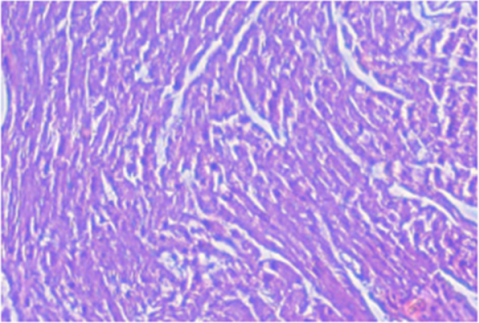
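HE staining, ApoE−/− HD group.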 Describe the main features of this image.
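Heart muscle tissue stained pink-purple, with muscle fibers running in wavy bundles. Fibers are separated by many wider, pale clefts that cross the field, giving a loosened, less compact appearance than densely packed muscle.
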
